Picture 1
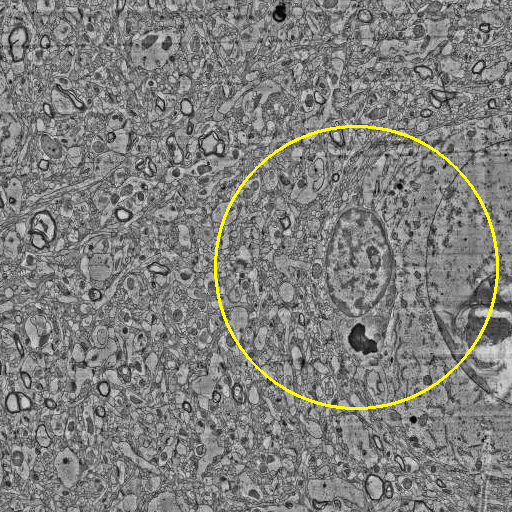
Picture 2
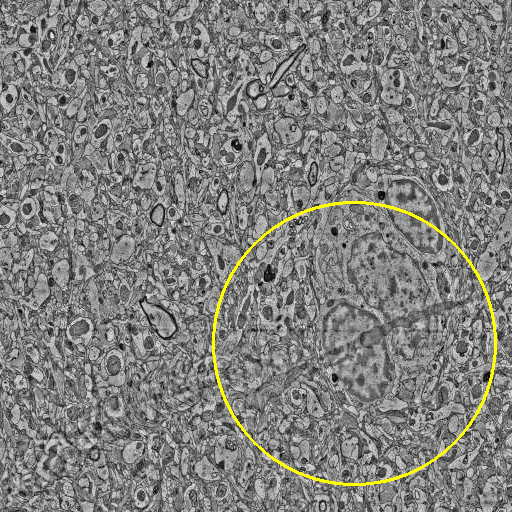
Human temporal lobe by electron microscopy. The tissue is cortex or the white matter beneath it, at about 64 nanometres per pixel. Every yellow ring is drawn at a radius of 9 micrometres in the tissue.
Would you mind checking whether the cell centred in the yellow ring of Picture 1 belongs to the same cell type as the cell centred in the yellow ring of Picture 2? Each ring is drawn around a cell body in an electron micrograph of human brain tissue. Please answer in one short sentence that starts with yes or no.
Yes, both cells are of the same type.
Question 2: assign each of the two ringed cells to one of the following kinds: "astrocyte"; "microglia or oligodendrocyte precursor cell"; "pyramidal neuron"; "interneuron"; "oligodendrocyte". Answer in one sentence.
Each of the two cells is an oligodendrocyte.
